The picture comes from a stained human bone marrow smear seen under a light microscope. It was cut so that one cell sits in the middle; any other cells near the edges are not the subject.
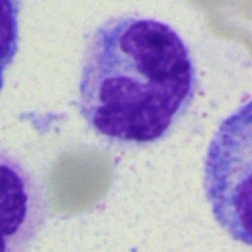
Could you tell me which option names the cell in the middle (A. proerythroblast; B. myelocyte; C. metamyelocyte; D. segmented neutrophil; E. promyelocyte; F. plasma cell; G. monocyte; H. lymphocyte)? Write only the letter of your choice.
G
